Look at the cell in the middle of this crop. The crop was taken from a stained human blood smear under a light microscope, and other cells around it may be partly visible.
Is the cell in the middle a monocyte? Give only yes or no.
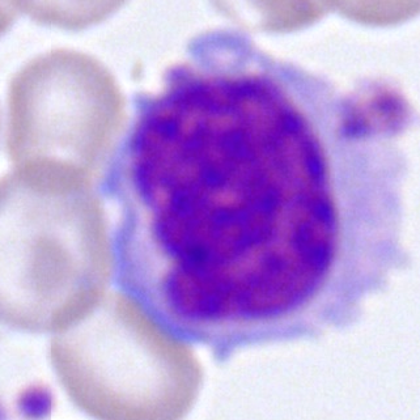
yes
